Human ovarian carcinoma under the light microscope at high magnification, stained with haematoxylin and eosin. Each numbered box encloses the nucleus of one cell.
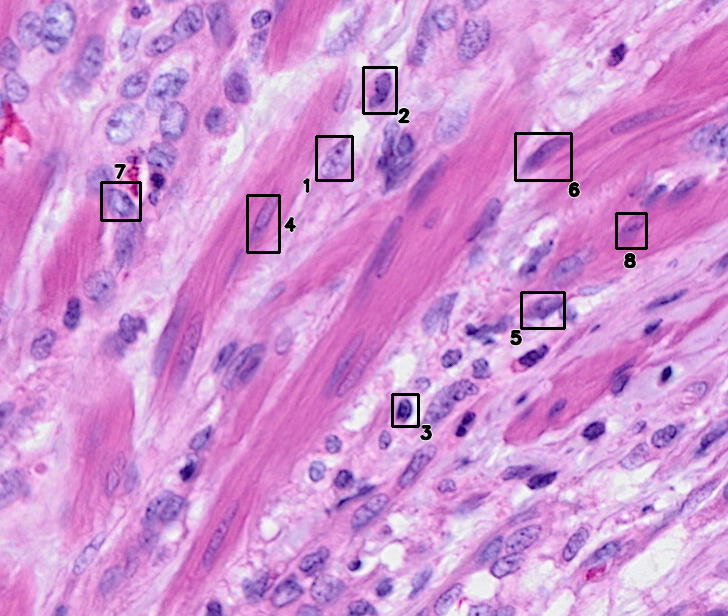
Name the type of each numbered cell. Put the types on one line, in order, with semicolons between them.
fibroblast; macrophage or monocyte; lymphocyte; smooth muscle cell; fibroblast; smooth muscle cell; endothelial cell; smooth muscle cell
